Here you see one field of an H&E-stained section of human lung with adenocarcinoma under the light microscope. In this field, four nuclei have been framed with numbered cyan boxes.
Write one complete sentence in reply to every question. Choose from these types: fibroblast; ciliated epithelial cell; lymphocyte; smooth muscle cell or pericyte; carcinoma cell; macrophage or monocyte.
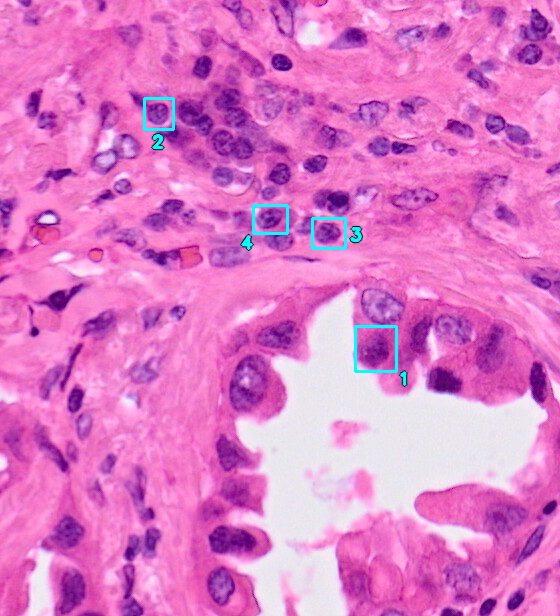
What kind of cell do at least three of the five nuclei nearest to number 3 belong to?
Of the five nuclei nearest to number 3, most belong to lymphocytes.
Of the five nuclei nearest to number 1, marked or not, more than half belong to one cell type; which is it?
Carcinoma cells account for more than half of the five nuclei nearest to number 1.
